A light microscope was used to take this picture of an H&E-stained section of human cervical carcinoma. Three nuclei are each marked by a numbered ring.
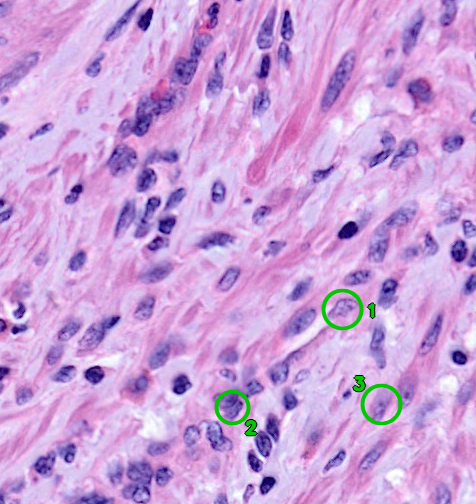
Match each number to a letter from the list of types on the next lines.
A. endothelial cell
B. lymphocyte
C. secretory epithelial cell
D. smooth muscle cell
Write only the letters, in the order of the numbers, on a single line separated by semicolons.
A; A; D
